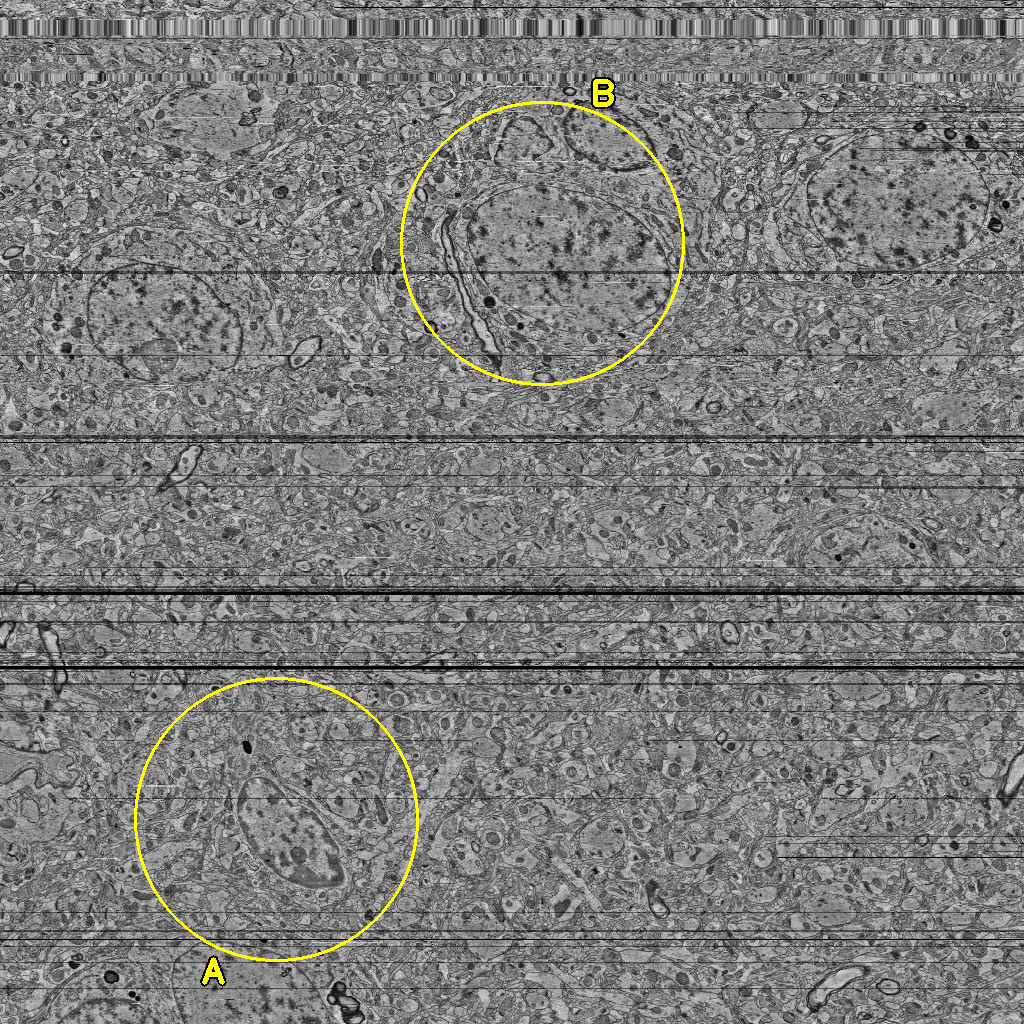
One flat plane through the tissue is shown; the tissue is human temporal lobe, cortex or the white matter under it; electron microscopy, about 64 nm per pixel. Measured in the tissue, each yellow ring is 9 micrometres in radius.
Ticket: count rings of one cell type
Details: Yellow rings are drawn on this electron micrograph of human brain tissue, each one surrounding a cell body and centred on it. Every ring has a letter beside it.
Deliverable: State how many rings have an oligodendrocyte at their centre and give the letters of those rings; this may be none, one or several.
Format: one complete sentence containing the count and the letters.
There are no rings here centred on an oligodendrocyte, so the count is zero.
